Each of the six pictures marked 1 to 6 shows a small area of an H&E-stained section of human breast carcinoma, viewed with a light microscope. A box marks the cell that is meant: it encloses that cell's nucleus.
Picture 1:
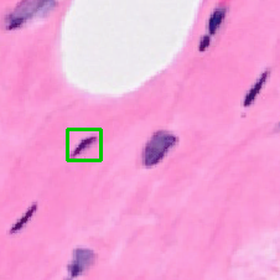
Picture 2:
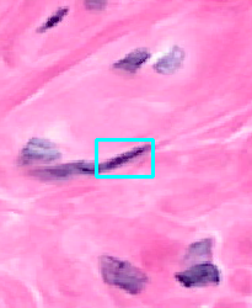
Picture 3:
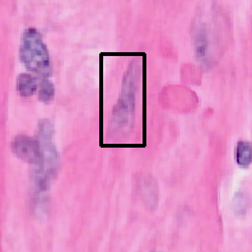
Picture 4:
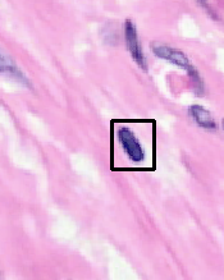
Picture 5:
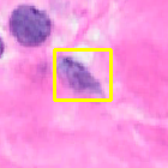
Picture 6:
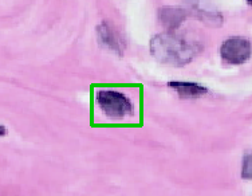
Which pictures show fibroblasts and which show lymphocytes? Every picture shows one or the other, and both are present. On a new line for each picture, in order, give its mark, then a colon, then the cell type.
1: fibroblast
2: fibroblast
3: fibroblast
4: lymphocyte
5: fibroblast
6: lymphocyte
